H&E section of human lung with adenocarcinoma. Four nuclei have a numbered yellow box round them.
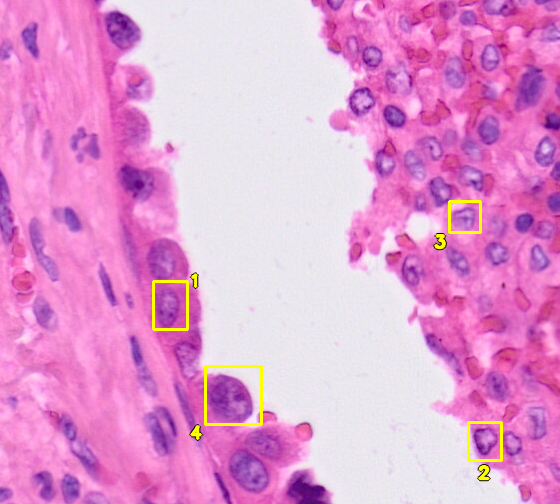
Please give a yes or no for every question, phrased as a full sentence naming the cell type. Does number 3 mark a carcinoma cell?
No, the cell tagged 3 is a macrophage or monocyte, not a carcinoma cell.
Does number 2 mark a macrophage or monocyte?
Yes, the cell corresponding to number 2 is a macrophage or monocyte.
